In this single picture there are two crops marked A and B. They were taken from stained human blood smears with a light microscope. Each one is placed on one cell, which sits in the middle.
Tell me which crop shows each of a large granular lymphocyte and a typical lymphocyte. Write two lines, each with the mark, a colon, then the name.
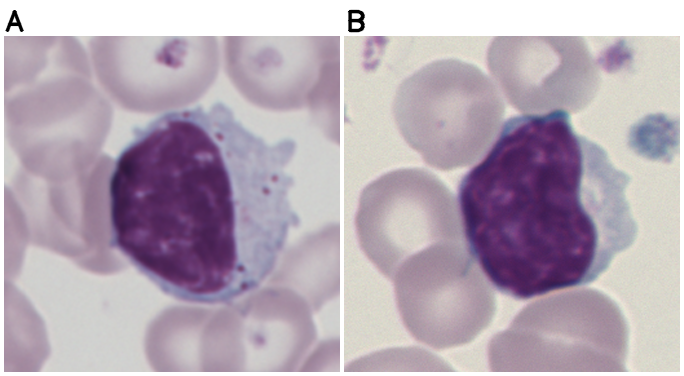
A: large granular lymphocyte
B: typical lymphocyte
